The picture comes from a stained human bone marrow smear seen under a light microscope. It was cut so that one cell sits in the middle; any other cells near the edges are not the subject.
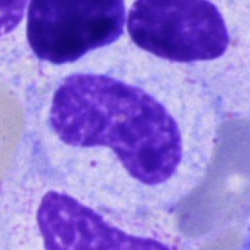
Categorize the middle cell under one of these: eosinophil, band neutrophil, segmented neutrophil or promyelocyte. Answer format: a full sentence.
The middle position in this crop is taken by a band neutrophil.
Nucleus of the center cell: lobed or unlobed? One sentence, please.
A single compact nucleus, round, oval or kidney-shaped, is what this cell shows.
